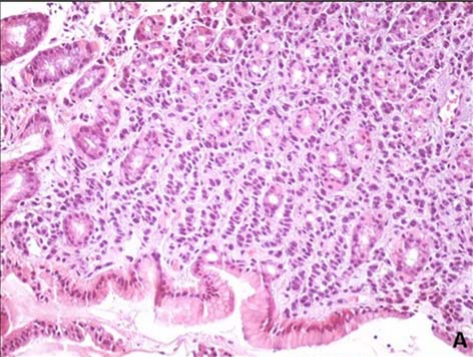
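This is gastric mucosa with a carcinoma spreading through the stroma between the gastric glands. The surface is lined by tall columnar foveolar epithelium with pale mucinous cytoplasm, seen along the bottom and left edges. Beneath it the lamina propria is crowded with small cells with dark nuclei. These cells are arranged loosely in single-file lines and cords rather than forming glands. Scattered gland cross-sections with pink cytoplasm remain embedded among the infiltrating cells.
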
